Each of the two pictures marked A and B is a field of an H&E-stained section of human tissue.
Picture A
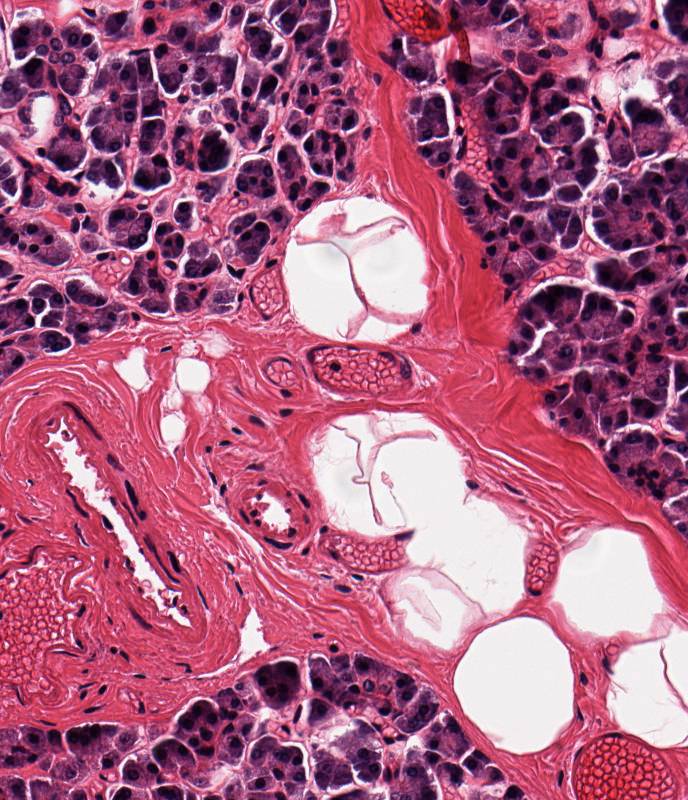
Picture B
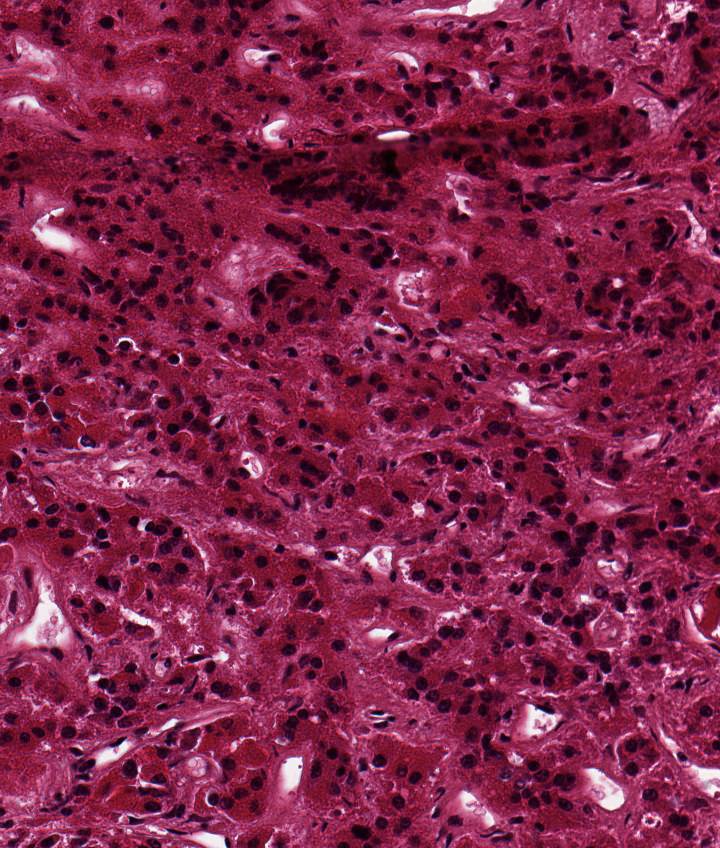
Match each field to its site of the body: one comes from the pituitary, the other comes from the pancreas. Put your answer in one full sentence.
Picture A comes from the pancreas and picture B comes from the pituitary.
